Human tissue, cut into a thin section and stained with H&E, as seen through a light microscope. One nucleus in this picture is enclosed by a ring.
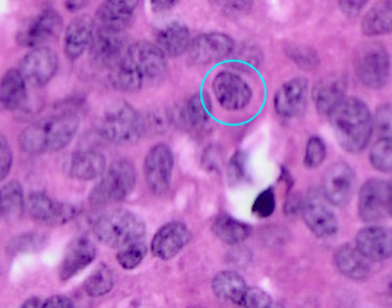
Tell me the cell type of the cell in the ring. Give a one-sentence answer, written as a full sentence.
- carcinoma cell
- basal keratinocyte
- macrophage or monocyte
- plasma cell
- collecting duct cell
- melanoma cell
Among the cells in this section, the cell in the ring is a macrophage or monocyte.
